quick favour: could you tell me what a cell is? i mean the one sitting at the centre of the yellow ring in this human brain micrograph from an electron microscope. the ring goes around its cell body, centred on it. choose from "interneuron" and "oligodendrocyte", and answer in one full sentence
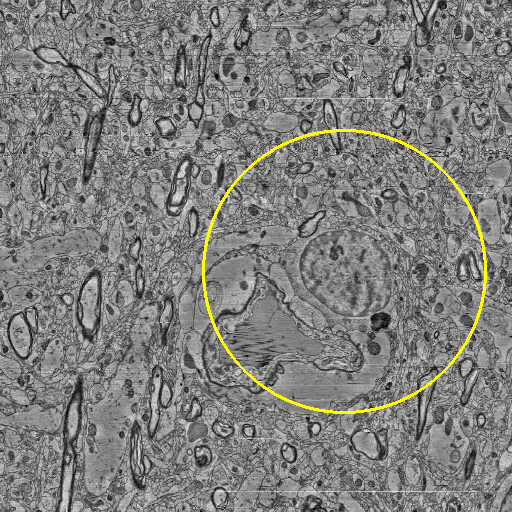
That's an oligodendrocyte, the cell sitting at the centre of the yellow ring.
